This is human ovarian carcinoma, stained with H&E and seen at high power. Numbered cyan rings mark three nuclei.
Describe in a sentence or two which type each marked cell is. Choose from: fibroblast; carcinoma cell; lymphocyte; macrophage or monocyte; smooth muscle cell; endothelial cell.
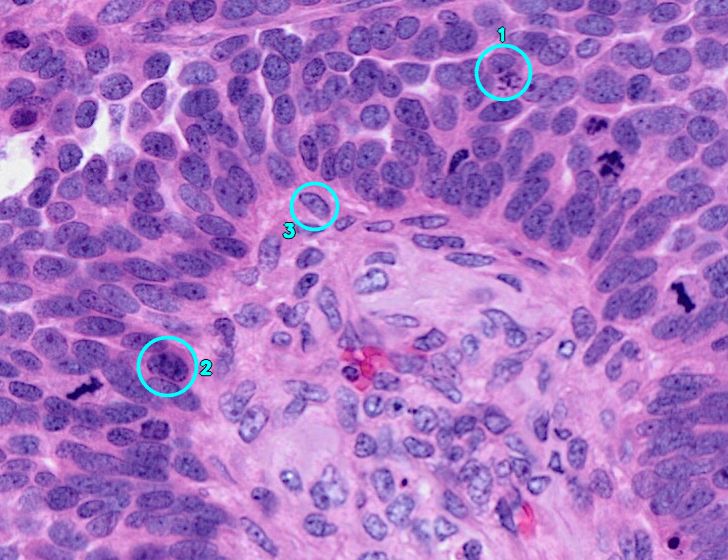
Cells 1 and 2 are carcinoma cells. Cell 3 is a fibroblast.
